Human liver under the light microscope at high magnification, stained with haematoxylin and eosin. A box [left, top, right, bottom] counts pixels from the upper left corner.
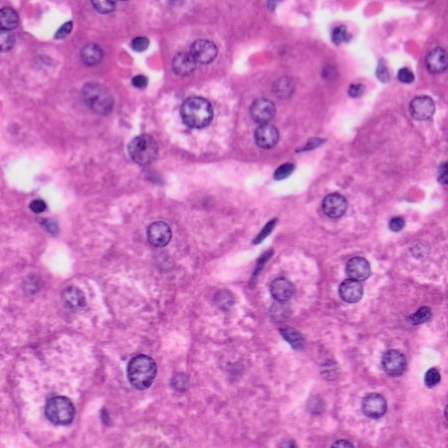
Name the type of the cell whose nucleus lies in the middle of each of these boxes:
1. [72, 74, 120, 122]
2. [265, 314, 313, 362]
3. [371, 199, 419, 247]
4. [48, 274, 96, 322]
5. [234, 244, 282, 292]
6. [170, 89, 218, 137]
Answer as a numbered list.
1. hepatocyte
2. endothelial cell
3. lymphocyte
4. hepatocyte
5. Kupffer cell
6. hepatocyte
